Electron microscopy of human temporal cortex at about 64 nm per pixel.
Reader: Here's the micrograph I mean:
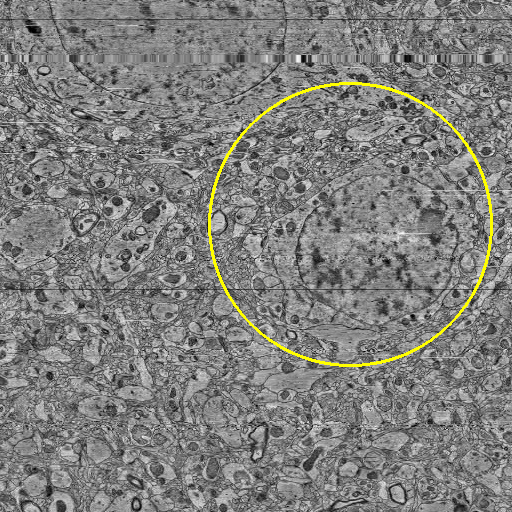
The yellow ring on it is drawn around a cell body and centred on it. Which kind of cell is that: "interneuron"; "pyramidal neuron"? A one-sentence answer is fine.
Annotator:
The ring is centred on an interneuron.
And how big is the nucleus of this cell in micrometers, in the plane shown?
In this plane, the nucleus measures approximately 10 micrometres across.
